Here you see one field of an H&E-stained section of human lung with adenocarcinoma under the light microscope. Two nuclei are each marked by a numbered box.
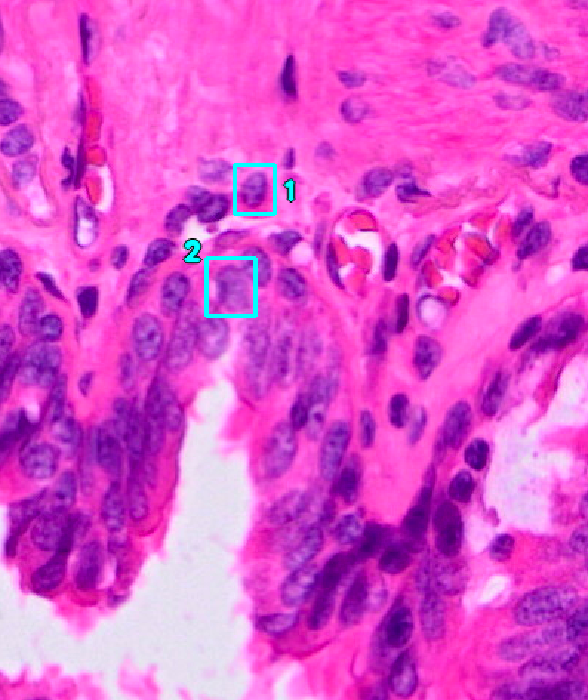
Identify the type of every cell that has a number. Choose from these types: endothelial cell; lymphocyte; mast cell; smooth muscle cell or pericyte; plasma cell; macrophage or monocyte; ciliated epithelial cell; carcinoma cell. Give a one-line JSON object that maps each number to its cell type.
{"1": "mast cell", "2": "ciliated epithelial cell"}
